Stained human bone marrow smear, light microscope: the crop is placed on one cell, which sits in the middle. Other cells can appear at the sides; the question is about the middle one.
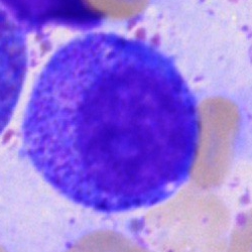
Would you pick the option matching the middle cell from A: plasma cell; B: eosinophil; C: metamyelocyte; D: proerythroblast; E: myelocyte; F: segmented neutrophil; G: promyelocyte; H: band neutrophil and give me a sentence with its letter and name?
Option G correctly names the cell in the middle as a promyelocyte.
